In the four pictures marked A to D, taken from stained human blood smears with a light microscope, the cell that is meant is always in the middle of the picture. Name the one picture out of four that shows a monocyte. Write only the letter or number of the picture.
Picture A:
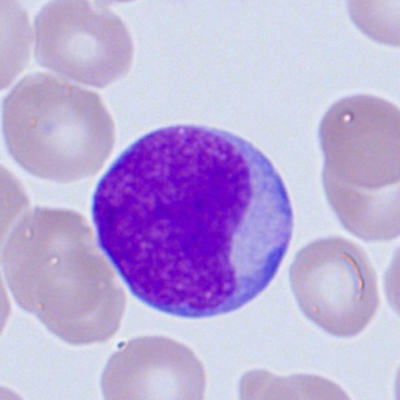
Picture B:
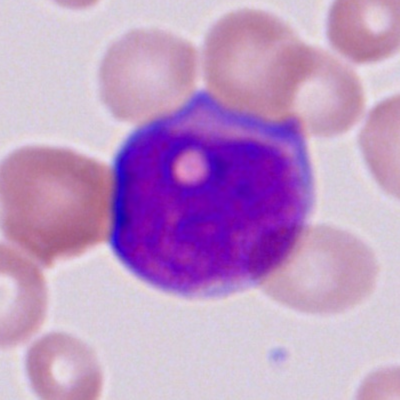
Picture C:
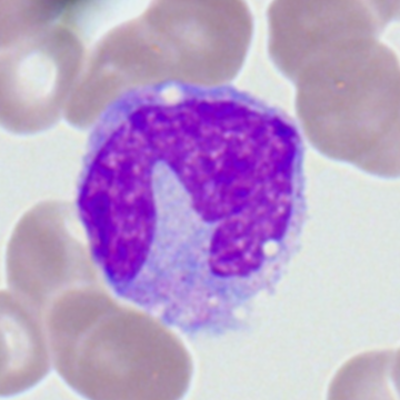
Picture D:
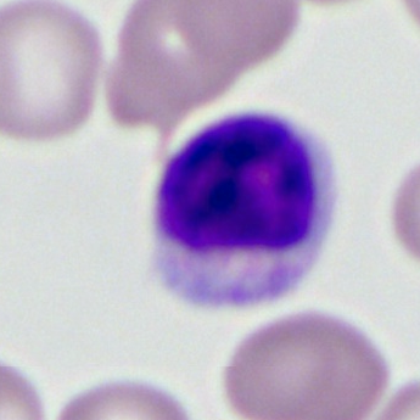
C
